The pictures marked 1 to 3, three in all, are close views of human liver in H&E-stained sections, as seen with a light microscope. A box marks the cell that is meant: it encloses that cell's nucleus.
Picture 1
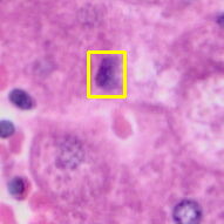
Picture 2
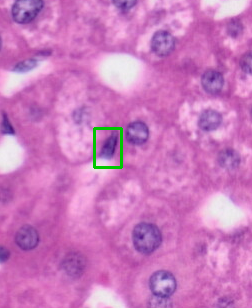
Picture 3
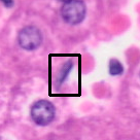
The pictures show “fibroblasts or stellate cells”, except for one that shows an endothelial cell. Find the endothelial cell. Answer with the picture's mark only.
3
